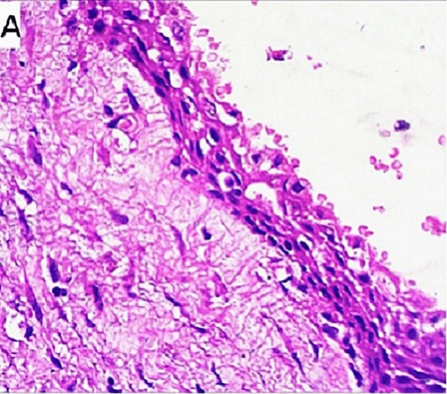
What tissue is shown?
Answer: Stratified non-keratinizing squamous epithelium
